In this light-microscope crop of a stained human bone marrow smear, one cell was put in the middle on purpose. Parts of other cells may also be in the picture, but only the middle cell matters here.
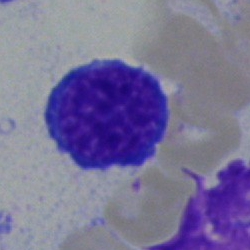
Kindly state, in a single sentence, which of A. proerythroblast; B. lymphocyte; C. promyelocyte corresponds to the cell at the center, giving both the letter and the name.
Option B gets it right: the cell in the middle is a lymphocyte.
